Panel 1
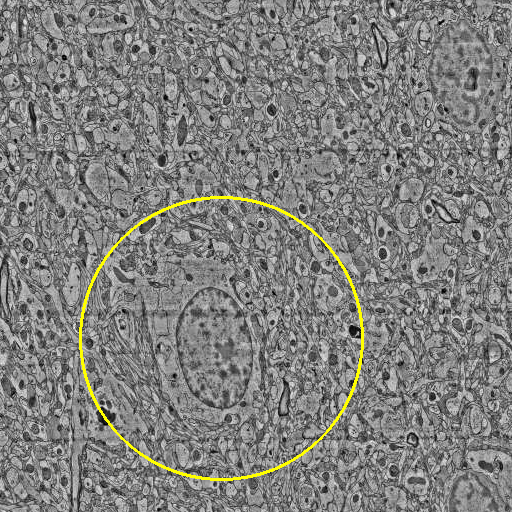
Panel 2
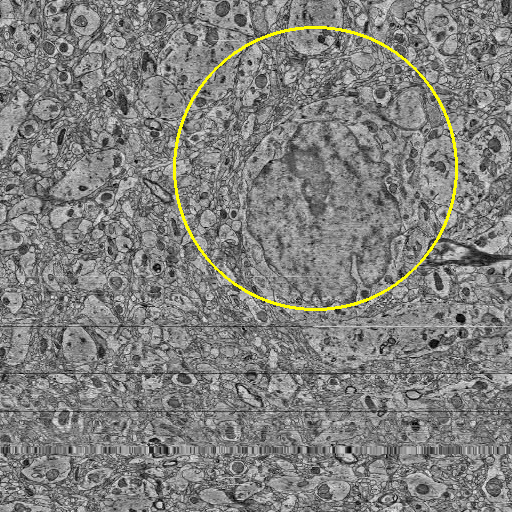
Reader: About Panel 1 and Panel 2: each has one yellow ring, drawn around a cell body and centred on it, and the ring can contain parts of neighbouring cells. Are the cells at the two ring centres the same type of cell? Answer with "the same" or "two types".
two types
